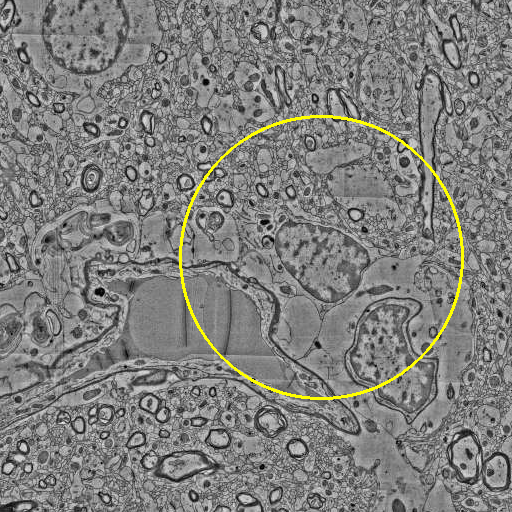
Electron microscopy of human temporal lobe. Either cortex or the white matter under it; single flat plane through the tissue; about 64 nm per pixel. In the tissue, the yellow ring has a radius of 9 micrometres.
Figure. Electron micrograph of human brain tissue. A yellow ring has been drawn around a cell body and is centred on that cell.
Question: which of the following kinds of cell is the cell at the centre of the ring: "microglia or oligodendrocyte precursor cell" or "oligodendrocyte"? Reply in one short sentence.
The cell at the centre of the ring is a microglial cell or oligodendrocyte precursor cell.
